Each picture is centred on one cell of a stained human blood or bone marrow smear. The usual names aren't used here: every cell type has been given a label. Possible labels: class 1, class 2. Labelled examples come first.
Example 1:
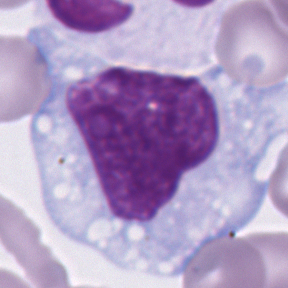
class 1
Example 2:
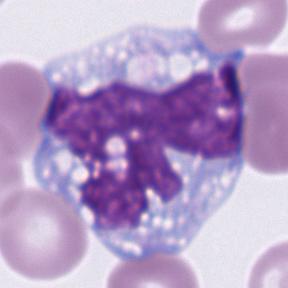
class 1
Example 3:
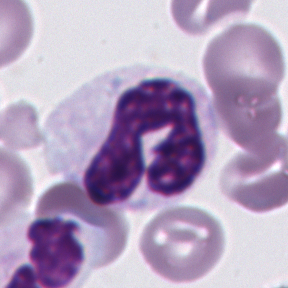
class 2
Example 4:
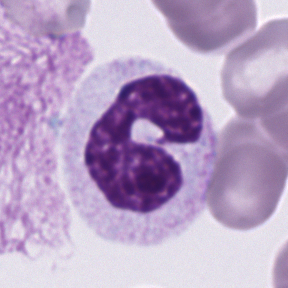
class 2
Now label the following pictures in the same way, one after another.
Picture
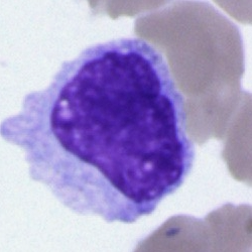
class 1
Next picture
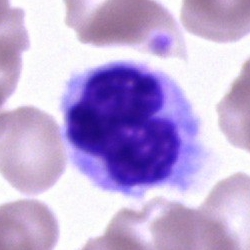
class 1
